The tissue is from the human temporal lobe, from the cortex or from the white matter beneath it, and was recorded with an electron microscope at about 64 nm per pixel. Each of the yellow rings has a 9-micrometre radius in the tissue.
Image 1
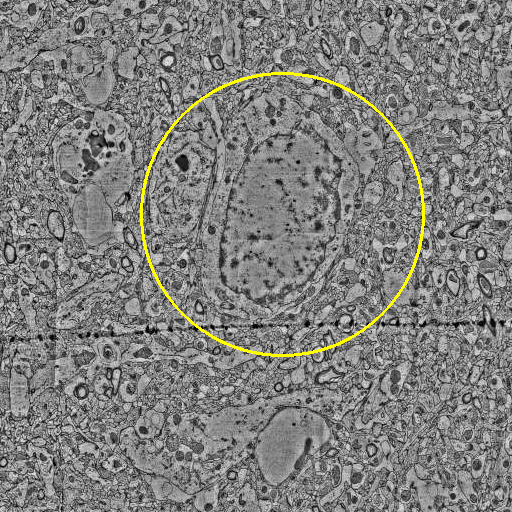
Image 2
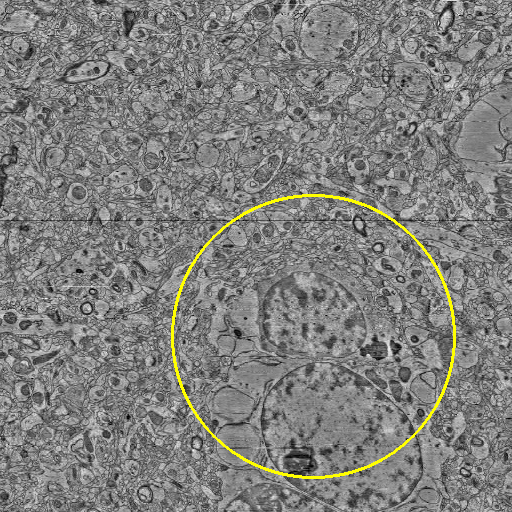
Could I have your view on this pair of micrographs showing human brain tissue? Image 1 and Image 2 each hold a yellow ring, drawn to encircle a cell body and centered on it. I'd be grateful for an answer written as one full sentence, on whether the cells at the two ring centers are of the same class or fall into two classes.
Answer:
The cells at the centers of the two rings fall into two classes.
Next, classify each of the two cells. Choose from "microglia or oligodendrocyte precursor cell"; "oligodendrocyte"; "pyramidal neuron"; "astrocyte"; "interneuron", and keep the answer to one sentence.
In the first picture it is an interneuron; in the second it is an oligodendrocyte.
